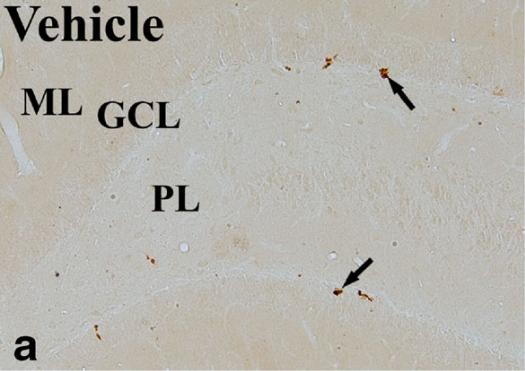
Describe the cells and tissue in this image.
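This is the dentate gyrus of the hippocampus, with its arching band of densely packed granule cells separating the pale molecular layer outside from the looser polymorphic layer within. Scattered small, dark brown nuclei, often in little pairs or clusters, sit along the inner border of the granule cell band, where the arrows point, while the rest of the tissue stays pale.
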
